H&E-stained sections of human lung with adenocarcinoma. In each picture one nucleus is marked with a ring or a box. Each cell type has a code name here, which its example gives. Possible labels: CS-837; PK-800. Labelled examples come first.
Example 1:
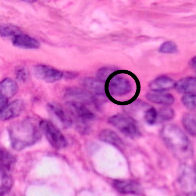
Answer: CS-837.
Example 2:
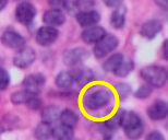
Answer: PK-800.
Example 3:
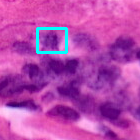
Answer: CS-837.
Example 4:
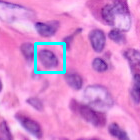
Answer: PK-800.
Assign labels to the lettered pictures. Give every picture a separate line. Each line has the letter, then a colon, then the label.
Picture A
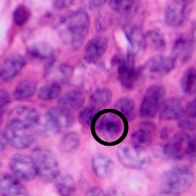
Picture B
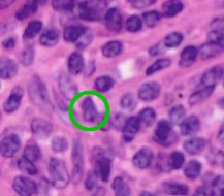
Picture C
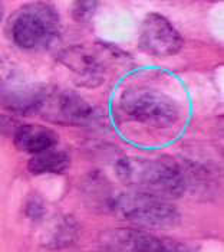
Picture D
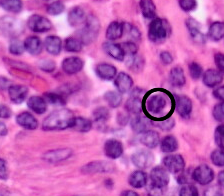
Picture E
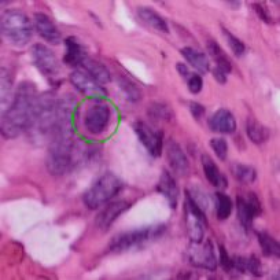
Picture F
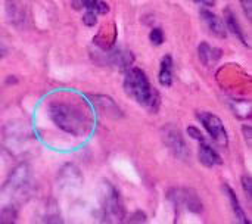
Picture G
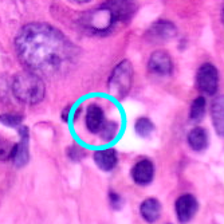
A: CS-837.
B: PK-800.
C: CS-837.
D: PK-800.
E: CS-837.
F: CS-837.
G: PK-800.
